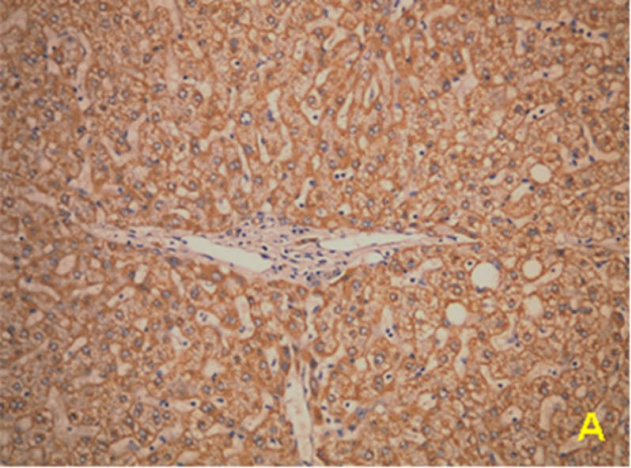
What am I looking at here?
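This is liver tissue made of normal hepatocytes arranged in plates one to two cells thick. The cells are large and polygonal, with round central nuclei stained blue, some with two nuclei. Narrow pale sinusoids run between the plates, and a small vessel with a thin rim of connective tissue crosses the middle. A few round clear vacuoles are scattered in some cells.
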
